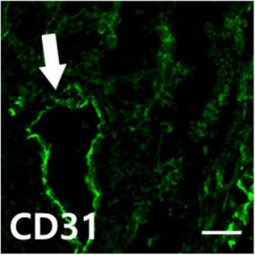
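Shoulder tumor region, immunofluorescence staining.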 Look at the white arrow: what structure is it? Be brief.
Lumen of blood vessel.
